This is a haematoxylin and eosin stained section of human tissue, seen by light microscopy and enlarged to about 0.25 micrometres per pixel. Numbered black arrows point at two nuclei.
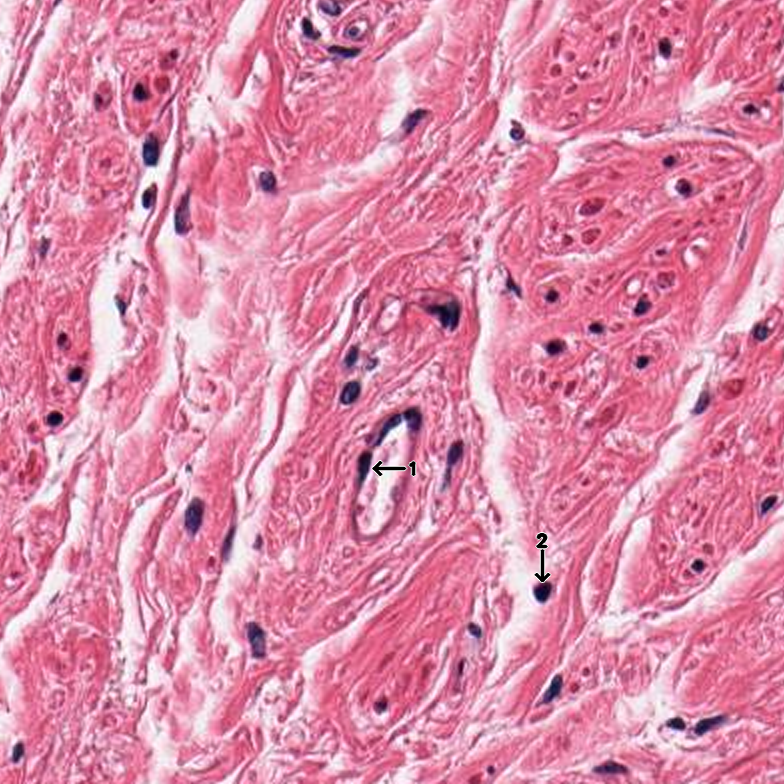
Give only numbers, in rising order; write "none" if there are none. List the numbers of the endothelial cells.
1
